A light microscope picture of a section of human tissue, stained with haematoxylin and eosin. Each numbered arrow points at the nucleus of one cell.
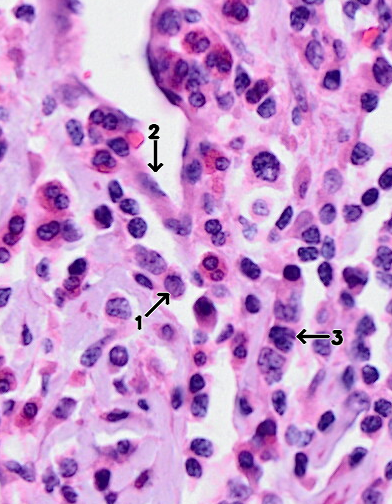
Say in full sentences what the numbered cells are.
Cell 1 is a macrophage or monocyte. Cell 2 is an endothelial cell. Cell 3 is a lymphocyte.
